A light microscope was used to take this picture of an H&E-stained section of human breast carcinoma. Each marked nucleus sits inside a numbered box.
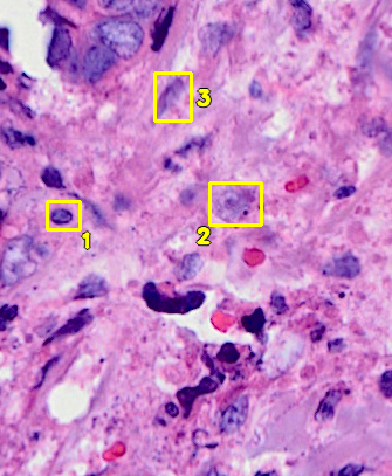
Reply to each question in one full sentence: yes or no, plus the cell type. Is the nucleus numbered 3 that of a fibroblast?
Yes, in the section, number 3 is a fibroblast.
